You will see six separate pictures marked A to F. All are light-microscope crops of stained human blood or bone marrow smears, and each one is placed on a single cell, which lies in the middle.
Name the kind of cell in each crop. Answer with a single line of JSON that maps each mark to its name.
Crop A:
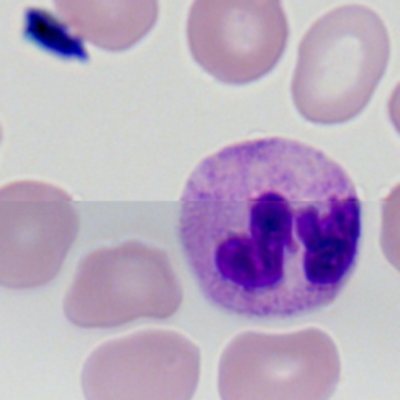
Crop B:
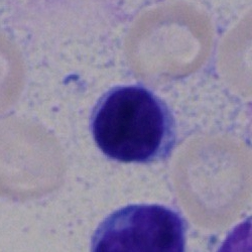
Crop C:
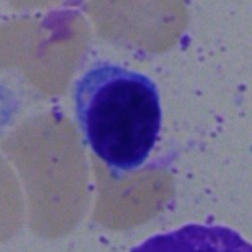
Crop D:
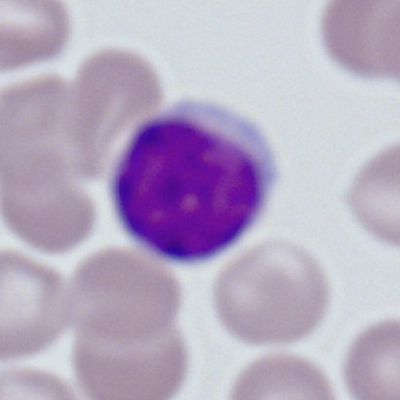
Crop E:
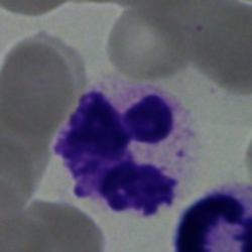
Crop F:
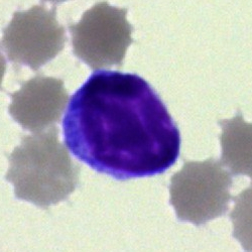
{"A": "neutrophil", "B": "lymphocyte", "C": "lymphocyte", "D": "lymphocyte", "E": "basophil", "F": "lymphocyte"}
